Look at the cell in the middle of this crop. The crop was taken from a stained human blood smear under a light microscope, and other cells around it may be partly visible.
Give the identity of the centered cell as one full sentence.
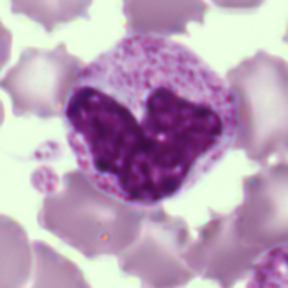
The center cell of this crop is a band neutrophil.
